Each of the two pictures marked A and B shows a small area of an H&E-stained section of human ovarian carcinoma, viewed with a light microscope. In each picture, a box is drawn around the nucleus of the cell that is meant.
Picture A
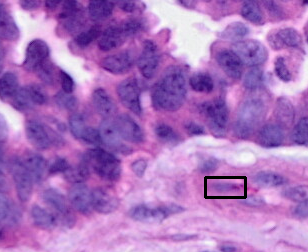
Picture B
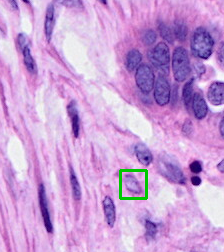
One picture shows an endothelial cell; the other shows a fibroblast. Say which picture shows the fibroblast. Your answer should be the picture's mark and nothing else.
B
